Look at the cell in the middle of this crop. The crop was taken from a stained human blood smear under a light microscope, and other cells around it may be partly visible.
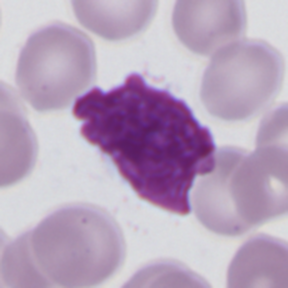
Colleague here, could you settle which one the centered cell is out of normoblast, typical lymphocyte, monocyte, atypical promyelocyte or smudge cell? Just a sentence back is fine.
Within this crop, a smudge cell occupies the central position.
